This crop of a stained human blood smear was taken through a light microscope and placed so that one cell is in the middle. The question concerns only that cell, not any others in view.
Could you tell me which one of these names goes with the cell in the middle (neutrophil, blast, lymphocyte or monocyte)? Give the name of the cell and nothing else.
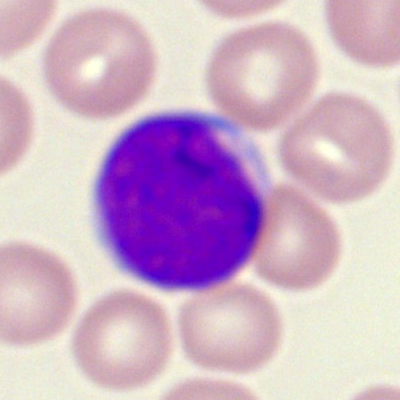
blast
